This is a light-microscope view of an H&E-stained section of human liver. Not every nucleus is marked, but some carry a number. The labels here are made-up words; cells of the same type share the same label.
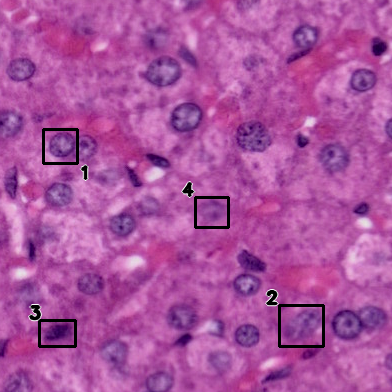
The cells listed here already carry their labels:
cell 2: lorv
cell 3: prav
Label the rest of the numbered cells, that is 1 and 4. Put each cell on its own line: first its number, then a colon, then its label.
1: lorv
4: lorv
